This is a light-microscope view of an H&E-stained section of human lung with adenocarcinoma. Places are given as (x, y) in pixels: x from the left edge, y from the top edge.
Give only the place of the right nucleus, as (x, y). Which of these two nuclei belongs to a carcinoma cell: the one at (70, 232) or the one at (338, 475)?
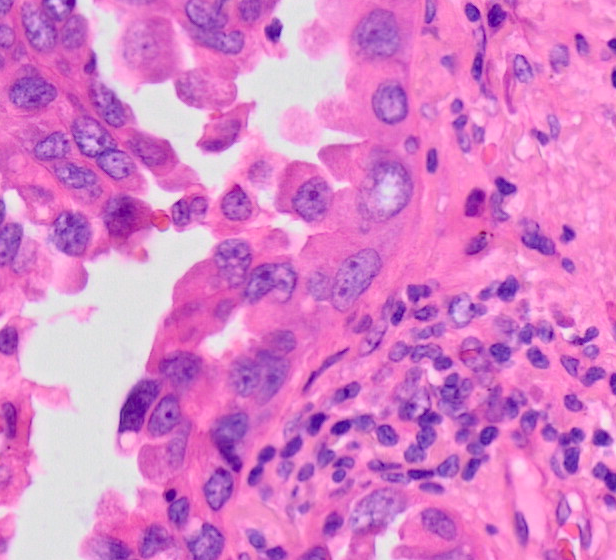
(70, 232)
